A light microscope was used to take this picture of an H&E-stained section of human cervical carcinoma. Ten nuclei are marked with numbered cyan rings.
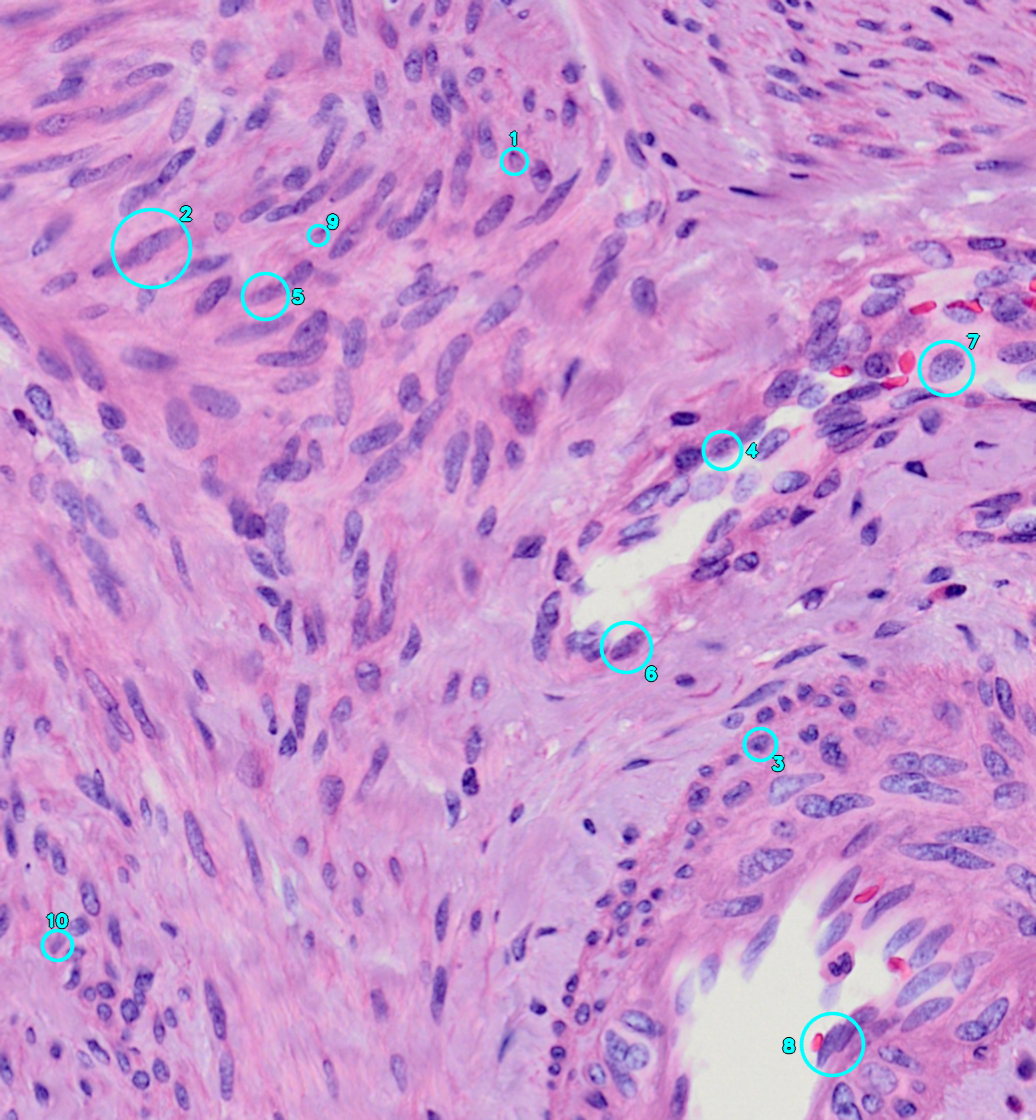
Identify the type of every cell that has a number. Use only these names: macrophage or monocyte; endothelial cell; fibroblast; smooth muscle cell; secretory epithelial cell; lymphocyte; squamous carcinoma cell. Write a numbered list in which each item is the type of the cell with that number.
1. smooth muscle cell
2. smooth muscle cell
3. smooth muscle cell
4. endothelial cell
5. smooth muscle cell
6. endothelial cell
7. endothelial cell
8. endothelial cell
9. smooth muscle cell
10. smooth muscle cell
